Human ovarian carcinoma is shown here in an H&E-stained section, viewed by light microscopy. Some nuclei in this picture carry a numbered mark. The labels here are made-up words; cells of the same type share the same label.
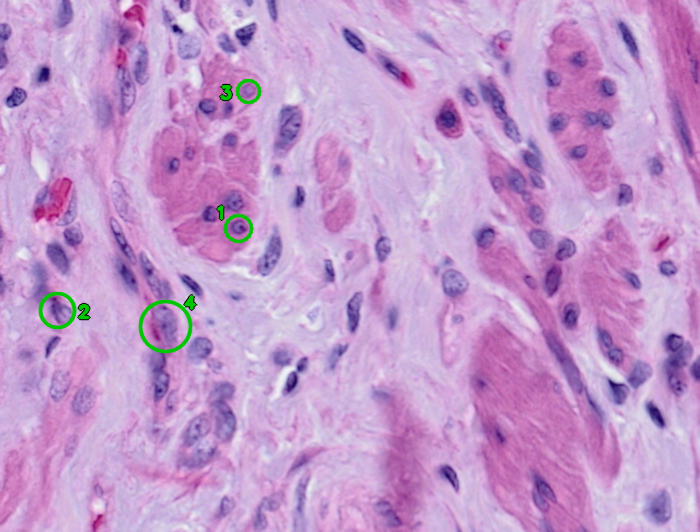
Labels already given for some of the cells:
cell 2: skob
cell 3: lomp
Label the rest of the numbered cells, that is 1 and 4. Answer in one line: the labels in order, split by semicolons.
lomp; skob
